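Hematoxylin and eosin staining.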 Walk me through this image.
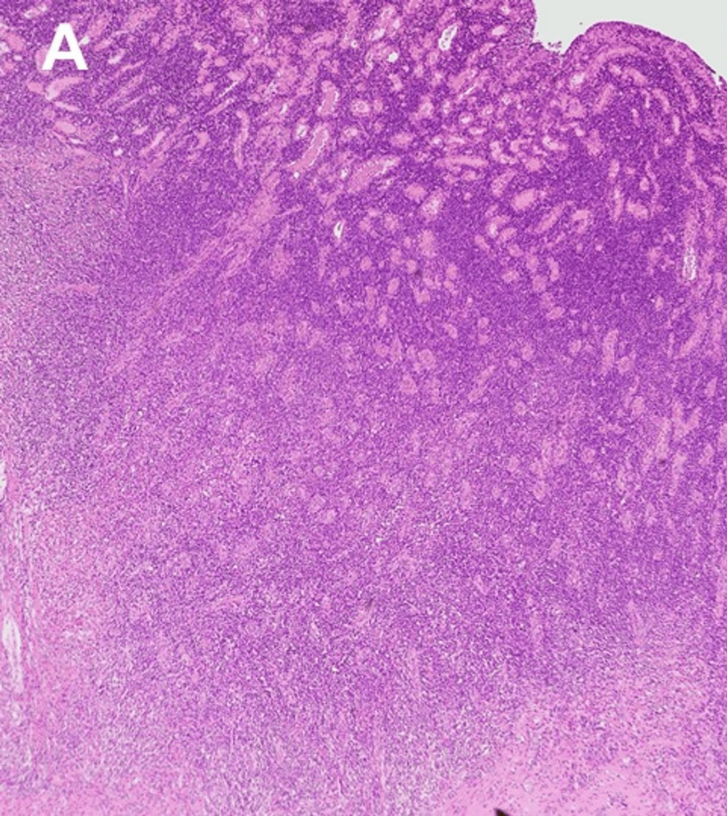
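At low power this is a glandular lining with scattered pink glands and tubules near the surface, sitting in a dense, dark purple infiltrate of small inflammatory cells. Deeper down, the tissue turns paler pink and fibrous, with the infiltrate thinning out into streaks within this scarred stroma.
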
